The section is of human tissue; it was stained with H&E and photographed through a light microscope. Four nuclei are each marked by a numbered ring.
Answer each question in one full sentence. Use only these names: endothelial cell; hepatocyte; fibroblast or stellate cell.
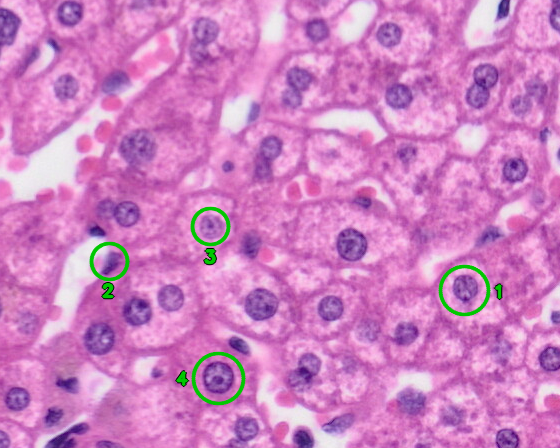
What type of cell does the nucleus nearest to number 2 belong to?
The nucleus nearest to number 2 is that of a fibroblast or stellate cell.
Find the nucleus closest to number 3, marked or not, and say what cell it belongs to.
The nearest nucleus to number 3 belongs to an endothelial cell.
